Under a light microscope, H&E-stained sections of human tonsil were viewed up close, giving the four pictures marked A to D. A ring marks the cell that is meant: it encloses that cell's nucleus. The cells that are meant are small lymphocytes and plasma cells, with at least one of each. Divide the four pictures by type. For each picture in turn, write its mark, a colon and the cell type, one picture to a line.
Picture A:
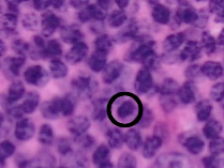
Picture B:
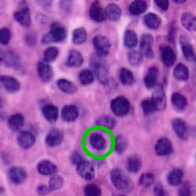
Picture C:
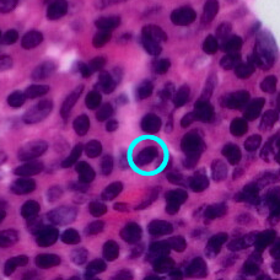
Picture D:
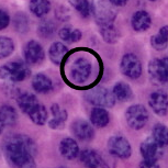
A: small lymphocyte
B: plasma cell
C: plasma cell
D: plasma cell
